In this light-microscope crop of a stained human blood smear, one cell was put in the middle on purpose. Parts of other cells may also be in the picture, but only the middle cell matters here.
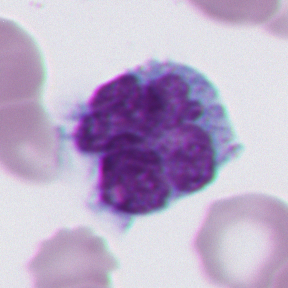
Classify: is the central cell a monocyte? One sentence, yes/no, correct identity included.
Yes, the central cell here is a monocyte.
